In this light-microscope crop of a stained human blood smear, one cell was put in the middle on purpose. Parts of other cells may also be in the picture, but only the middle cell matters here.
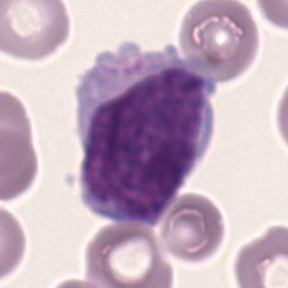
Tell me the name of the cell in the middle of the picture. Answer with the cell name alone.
atypical promyelocyte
